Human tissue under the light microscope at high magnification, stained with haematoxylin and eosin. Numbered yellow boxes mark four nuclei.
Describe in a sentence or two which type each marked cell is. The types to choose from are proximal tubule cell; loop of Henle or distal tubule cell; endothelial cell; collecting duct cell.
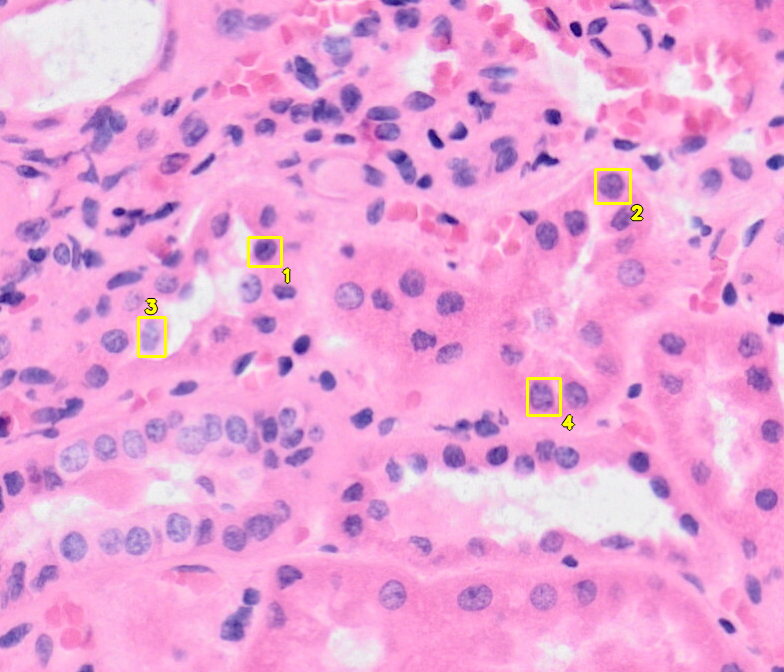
Cell 1 is a loop of Henle or distal tubule cell, cell 2 is a proximal tubule cell, cell 3 is a loop of Henle or distal tubule cell and cell 4 is a proximal tubule cell.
